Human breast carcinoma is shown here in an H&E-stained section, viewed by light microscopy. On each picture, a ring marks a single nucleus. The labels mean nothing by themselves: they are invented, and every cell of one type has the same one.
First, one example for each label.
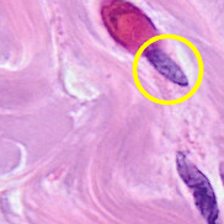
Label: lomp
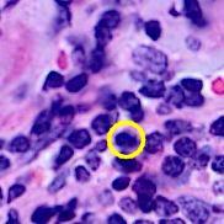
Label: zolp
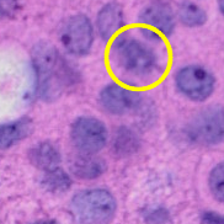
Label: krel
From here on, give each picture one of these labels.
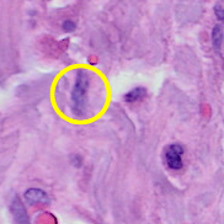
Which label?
lomp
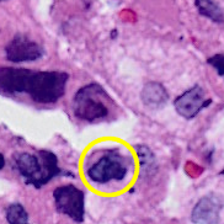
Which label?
krel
